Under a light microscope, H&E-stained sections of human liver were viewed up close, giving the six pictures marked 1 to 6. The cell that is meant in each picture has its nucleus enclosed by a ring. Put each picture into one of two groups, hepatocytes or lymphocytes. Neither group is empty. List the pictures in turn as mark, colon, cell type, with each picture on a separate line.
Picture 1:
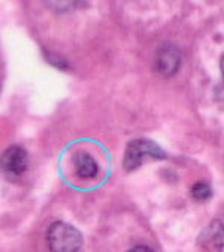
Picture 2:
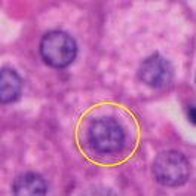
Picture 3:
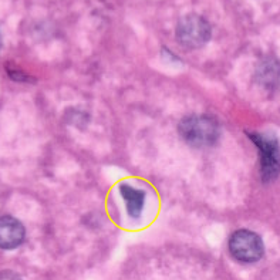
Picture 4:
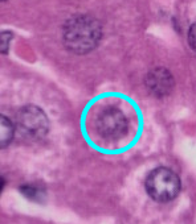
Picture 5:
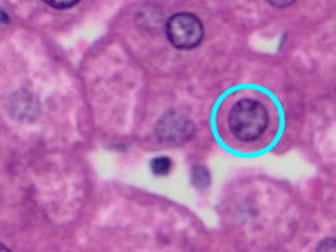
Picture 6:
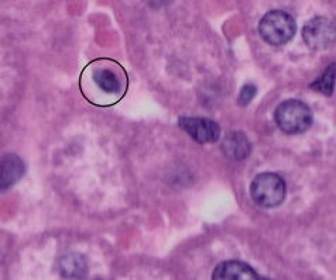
1: lymphocyte
2: hepatocyte
3: lymphocyte
4: hepatocyte
5: hepatocyte
6: lymphocyte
